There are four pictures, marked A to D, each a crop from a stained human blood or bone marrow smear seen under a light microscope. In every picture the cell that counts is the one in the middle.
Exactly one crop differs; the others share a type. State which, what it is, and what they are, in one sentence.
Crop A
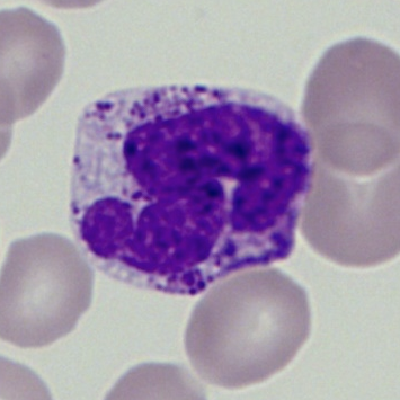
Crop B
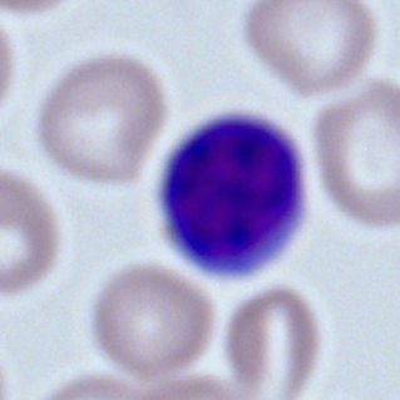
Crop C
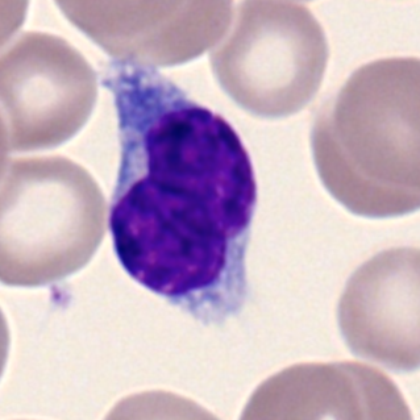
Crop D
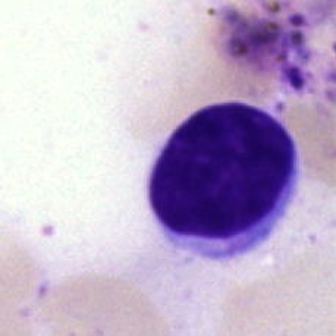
Crop A is the one that is a basophil, and the other crops all show lymphocytes.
